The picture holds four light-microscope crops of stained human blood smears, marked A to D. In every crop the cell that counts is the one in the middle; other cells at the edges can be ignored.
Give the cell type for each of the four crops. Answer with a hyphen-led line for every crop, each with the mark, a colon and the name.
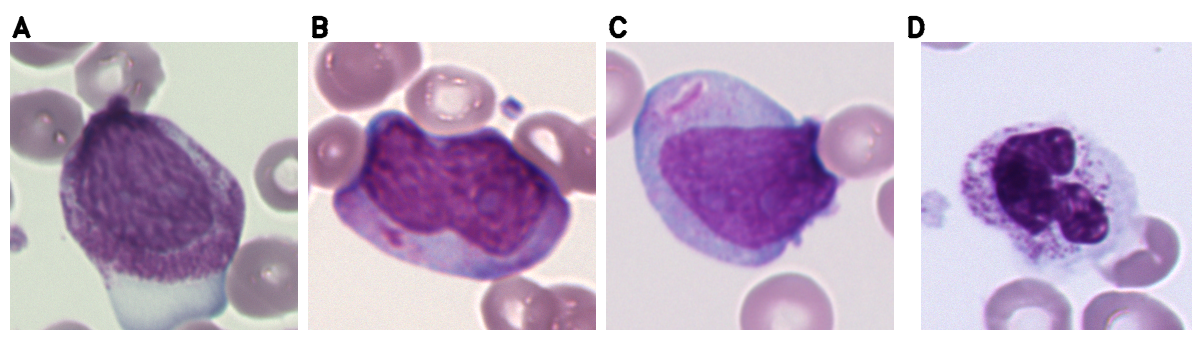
- A: atypical promyelocyte
- B: atypical promyelocyte
- C: atypical promyelocyte
- D: neutrophil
